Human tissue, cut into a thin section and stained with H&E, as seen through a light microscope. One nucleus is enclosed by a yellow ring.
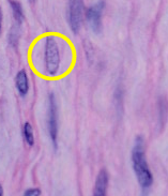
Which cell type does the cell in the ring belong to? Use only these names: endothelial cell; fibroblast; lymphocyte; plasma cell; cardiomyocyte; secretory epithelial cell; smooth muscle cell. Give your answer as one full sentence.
Microscopically, the cell in the ring is categorized as a smooth muscle cell.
